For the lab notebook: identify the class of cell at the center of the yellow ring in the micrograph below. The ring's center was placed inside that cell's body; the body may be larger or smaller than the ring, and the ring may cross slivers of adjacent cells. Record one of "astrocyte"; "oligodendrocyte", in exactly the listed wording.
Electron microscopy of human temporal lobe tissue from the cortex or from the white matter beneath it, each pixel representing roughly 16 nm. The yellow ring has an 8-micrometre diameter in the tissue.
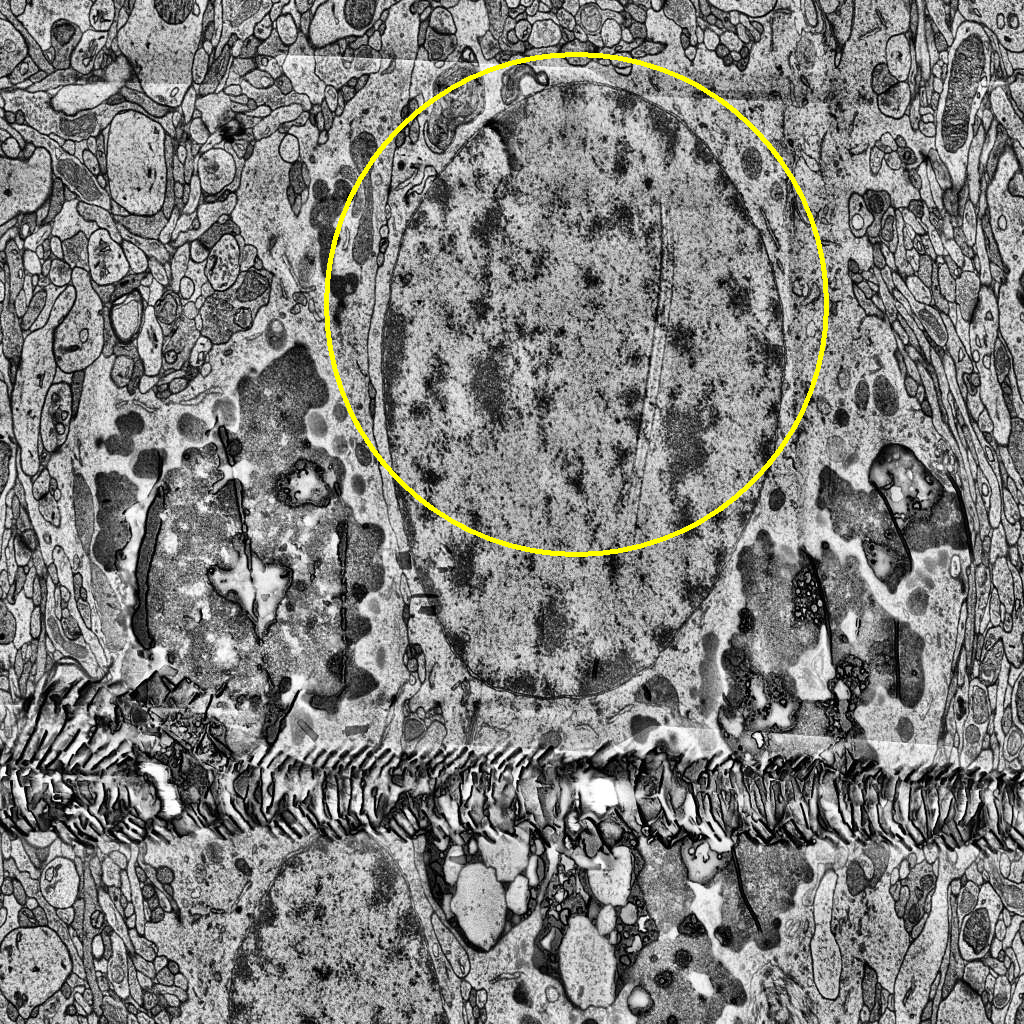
astrocyte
